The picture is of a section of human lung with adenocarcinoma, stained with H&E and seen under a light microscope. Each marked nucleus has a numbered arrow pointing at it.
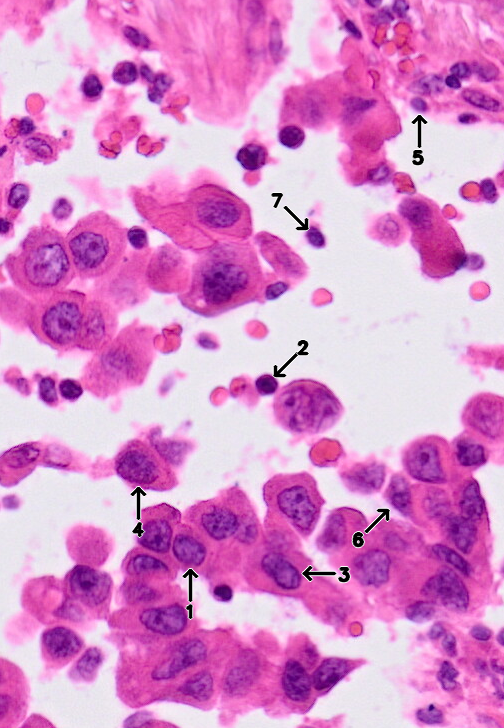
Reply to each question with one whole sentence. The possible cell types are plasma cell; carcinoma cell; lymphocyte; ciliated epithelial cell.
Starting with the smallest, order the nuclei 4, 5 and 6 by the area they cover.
From smallest to largest, the order is 5, 6, 4.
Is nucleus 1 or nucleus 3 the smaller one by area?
It is nucleus 1; nucleus 3 has about 1.5 times its area.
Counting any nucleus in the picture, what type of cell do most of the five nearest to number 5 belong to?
Around number 5, most of the five nearest nuclei are those of lymphocytes.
